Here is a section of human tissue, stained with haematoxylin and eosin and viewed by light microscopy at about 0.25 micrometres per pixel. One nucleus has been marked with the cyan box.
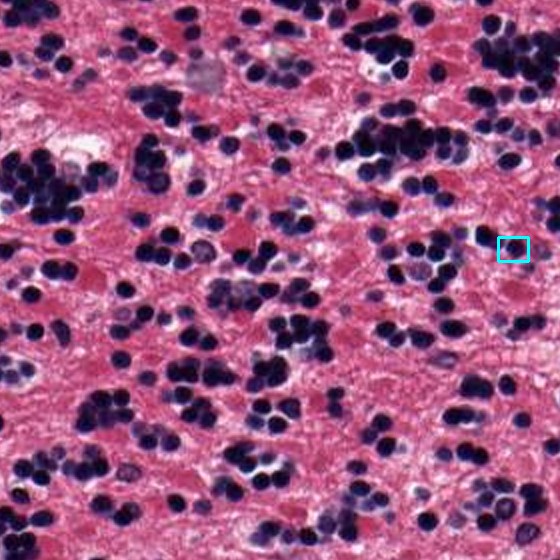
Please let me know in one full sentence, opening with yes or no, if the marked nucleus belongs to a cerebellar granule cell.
Yes, it is a cerebellar granule cell that holds the marked nucleus.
